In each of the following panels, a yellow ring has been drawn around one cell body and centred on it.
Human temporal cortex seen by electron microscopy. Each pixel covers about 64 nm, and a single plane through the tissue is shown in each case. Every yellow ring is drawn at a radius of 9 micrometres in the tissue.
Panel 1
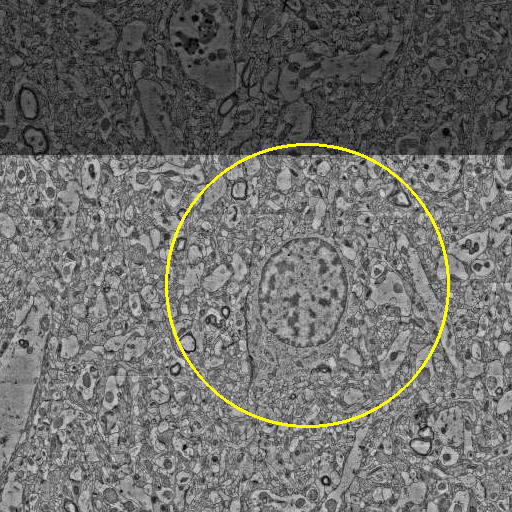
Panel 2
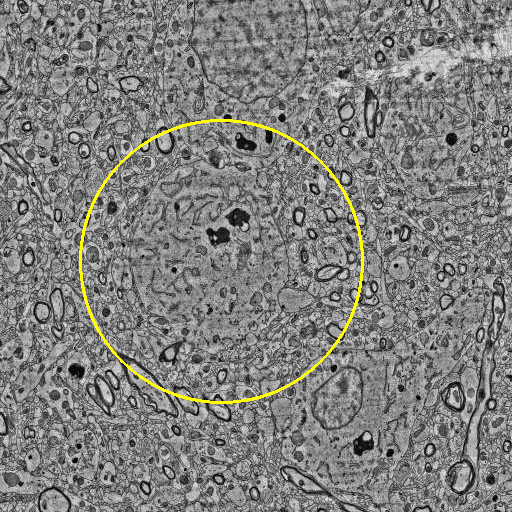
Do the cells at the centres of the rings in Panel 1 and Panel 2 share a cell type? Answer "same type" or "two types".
two types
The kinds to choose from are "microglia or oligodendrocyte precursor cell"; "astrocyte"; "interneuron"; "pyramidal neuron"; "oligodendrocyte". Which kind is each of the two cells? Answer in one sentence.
Of the two, the first cell is an oligodendrocyte and the second cell is a pyramidal neuron.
